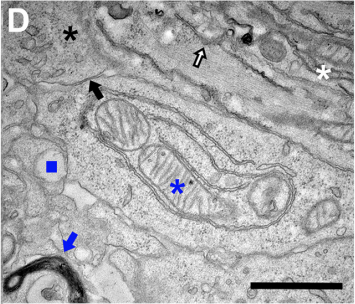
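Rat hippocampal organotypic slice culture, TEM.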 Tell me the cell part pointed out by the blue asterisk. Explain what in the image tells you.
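Elongated organelles bounded by a double membrane. Inner membrane folds cross the organelle interior.
Mitochondria.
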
